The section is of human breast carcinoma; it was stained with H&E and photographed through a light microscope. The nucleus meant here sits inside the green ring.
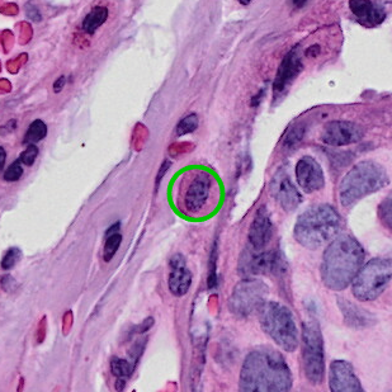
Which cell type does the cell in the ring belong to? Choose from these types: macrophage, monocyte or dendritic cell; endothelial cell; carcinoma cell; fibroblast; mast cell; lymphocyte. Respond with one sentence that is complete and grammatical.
By cell type, the cell in the ring is a mast cell.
